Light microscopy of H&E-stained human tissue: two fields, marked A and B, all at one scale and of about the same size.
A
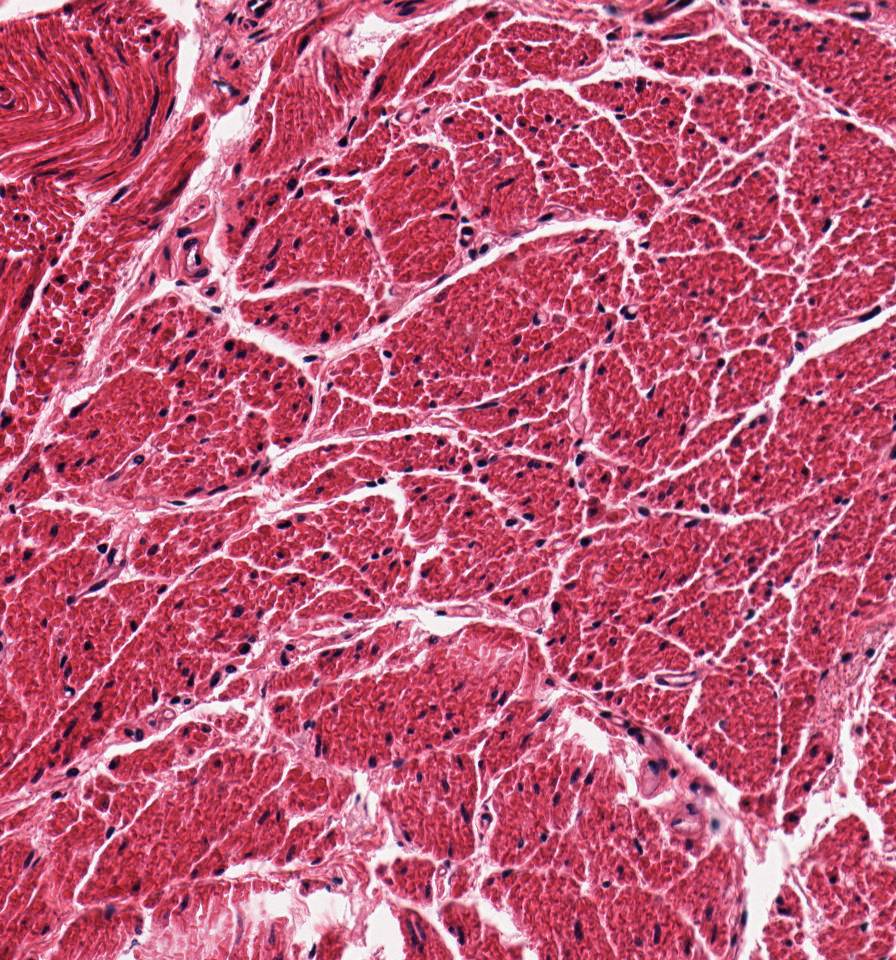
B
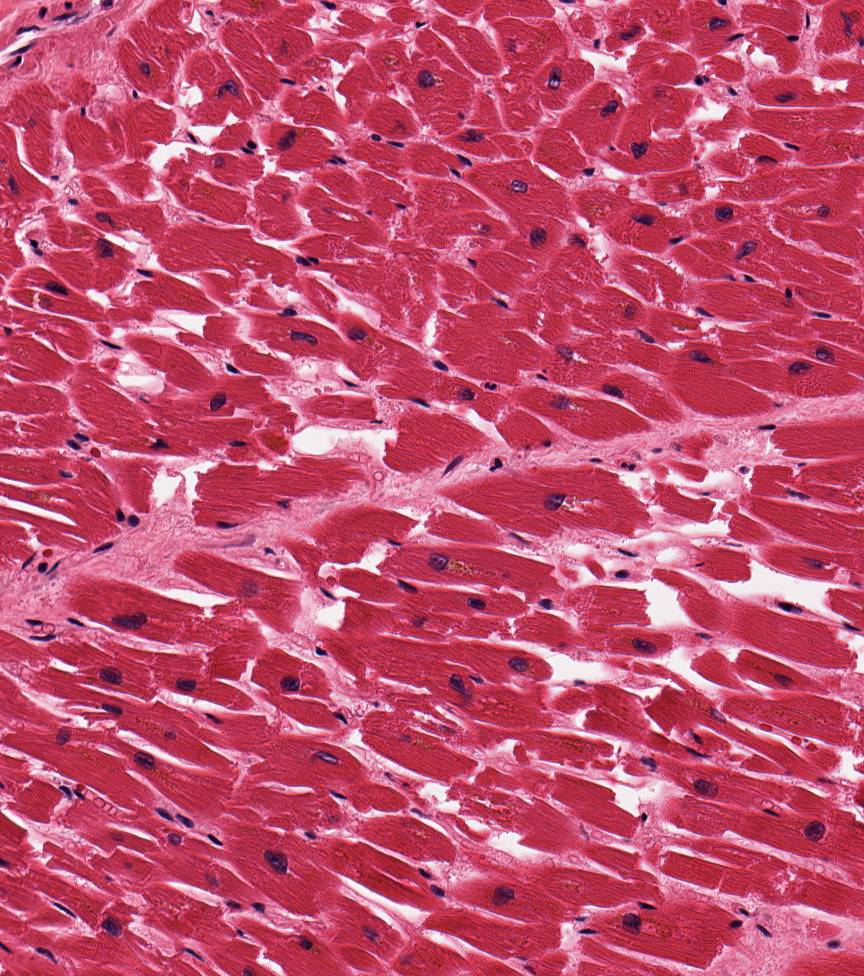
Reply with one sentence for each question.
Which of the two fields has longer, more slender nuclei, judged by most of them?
The nuclei are more elongated in picture B.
